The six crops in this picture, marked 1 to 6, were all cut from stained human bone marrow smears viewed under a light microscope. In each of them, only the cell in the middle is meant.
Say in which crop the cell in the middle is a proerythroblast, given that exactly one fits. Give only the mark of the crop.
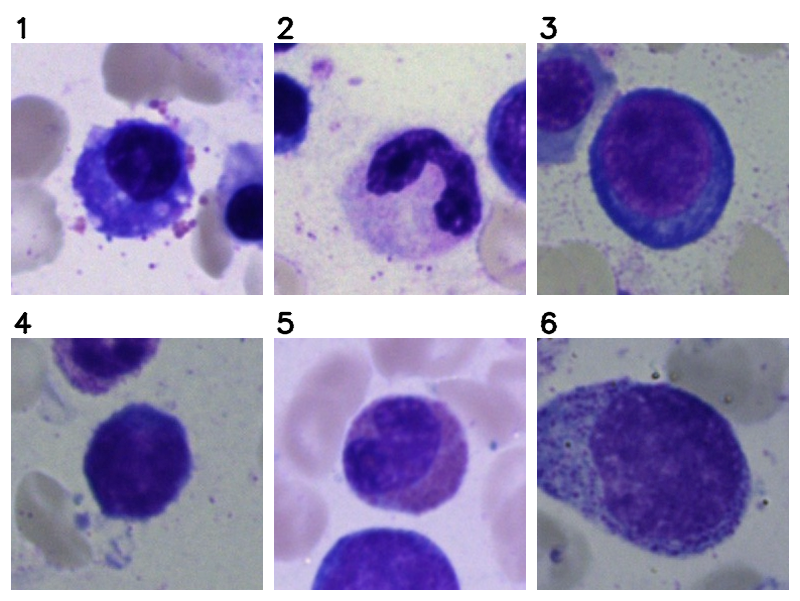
3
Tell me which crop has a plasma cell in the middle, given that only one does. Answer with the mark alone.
1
